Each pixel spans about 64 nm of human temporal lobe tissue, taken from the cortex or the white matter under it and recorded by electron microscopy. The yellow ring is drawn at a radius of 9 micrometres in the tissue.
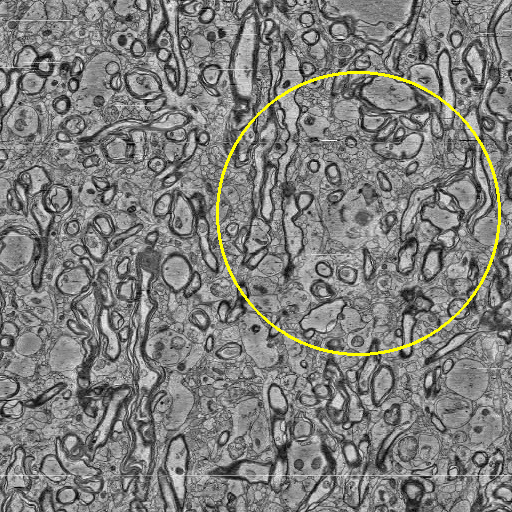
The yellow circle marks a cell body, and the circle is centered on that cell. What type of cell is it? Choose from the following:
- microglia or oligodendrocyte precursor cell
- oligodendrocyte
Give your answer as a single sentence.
This cell body belongs to a microglial cell or oligodendrocyte precursor cell.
